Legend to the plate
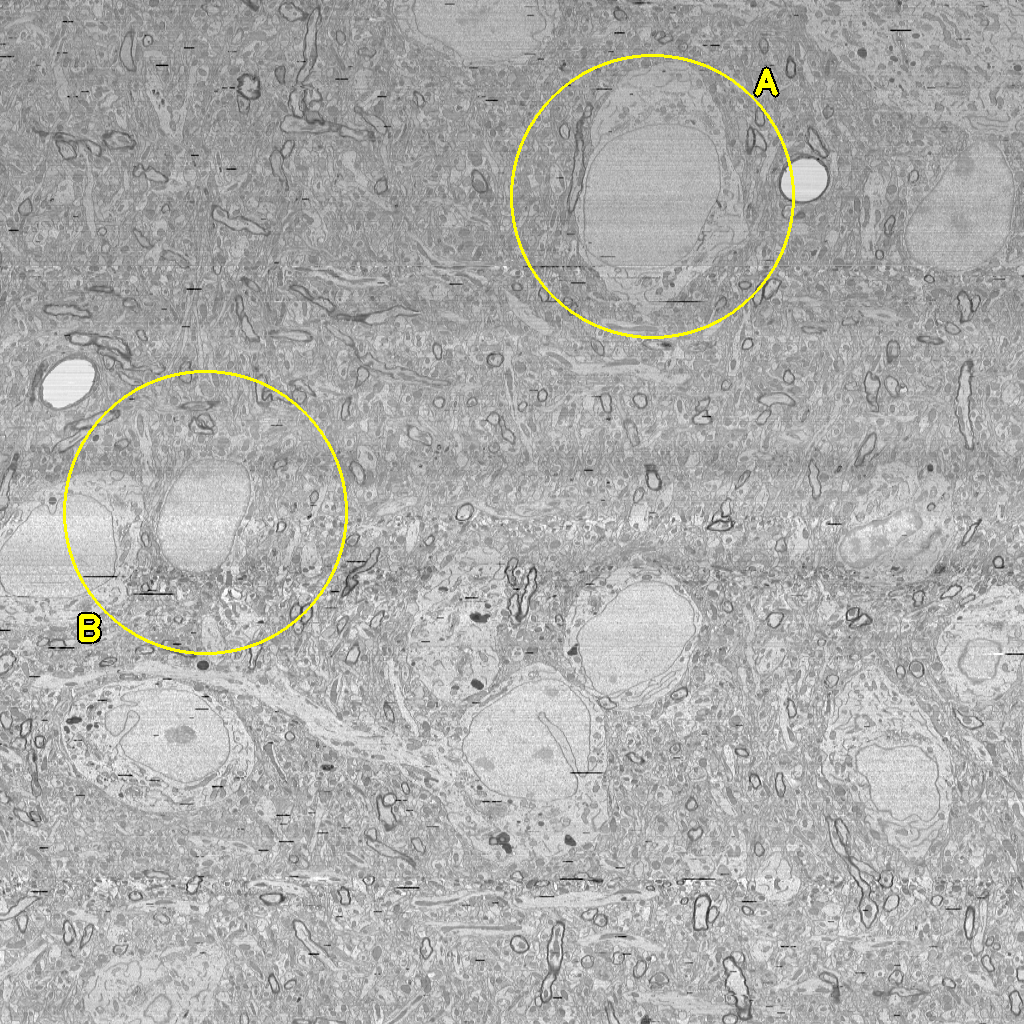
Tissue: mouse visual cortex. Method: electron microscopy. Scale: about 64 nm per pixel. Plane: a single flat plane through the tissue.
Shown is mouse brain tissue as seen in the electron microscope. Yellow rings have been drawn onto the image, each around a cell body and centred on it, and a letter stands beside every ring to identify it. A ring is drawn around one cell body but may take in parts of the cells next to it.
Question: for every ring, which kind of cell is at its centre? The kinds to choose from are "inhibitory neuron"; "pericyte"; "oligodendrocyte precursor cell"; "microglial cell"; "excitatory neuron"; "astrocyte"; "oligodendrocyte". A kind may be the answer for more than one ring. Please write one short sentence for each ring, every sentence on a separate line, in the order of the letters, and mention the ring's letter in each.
The kind of cell at the centre of ring A is an excitatory neuron.
The kind of cell at the centre of ring B is an astrocyte.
